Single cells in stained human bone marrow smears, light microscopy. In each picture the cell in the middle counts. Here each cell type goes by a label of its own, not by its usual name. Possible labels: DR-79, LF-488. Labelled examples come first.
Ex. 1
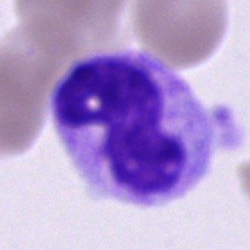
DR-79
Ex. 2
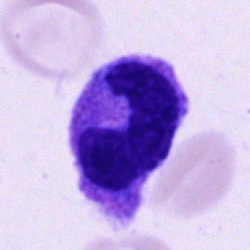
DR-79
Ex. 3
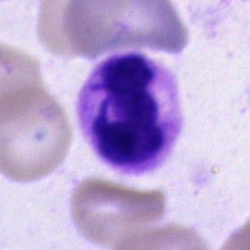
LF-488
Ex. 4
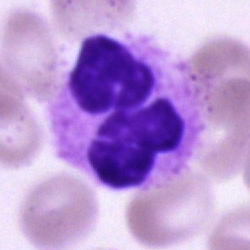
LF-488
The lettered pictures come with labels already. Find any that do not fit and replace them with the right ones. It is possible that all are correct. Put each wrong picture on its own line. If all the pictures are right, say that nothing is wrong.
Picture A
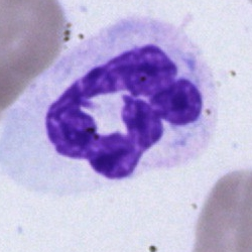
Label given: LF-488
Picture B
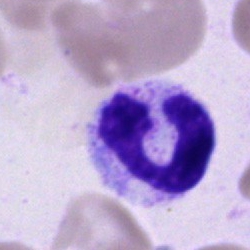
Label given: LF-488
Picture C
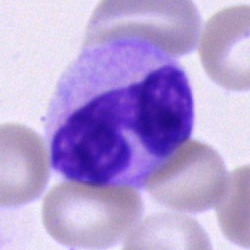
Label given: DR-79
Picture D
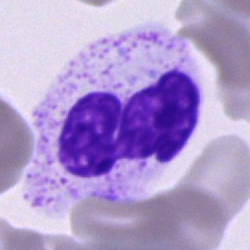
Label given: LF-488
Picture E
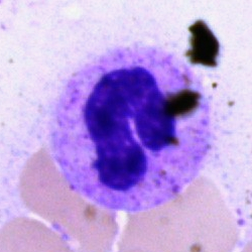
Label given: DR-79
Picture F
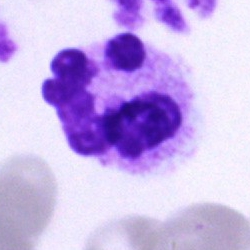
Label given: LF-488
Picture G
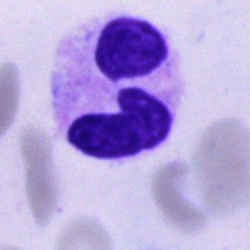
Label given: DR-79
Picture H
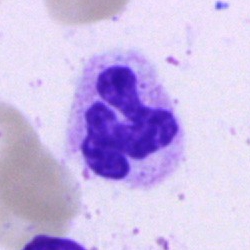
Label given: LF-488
Wrong: B (LF-488); correct: DR-79
Wrong: G (DR-79); correct: LF-488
